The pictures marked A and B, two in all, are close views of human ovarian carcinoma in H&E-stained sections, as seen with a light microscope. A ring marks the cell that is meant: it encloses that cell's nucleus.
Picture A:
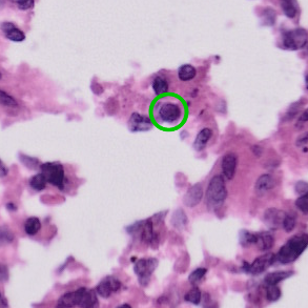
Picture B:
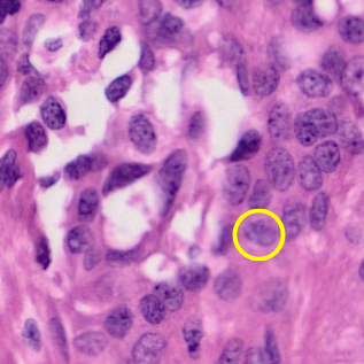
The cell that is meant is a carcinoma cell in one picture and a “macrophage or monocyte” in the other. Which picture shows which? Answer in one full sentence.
Picture B shows a carcinoma cell, while picture A shows a “macrophage or monocyte”.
